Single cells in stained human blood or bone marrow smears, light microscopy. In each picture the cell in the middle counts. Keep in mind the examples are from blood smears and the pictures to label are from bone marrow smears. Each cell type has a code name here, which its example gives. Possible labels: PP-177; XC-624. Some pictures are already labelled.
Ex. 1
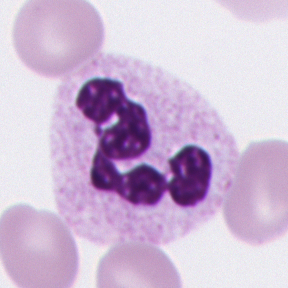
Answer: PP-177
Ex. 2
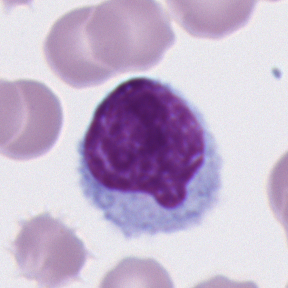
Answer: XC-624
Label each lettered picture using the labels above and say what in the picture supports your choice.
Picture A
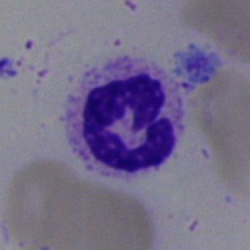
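PP-177. The nucleus is a thick curved band wrapped around a pale central space.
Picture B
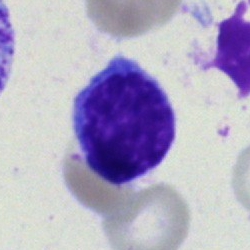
XC-624. The nucleus fills almost the whole cell, leaving very scant cytoplasm.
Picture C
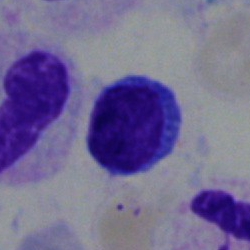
XC-624. The cytoplasm is a scanty rim stained deep blue.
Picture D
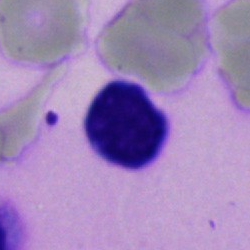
XC-624. Cytoplasm is scant, so the nucleus fills almost the whole cell.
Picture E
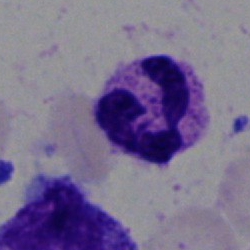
PP-177. Fine lilac granules are scattered throughout the cytoplasm.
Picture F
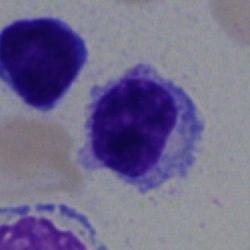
XC-624. The nucleus fills most of the cell and sits off-centre toward the upper left.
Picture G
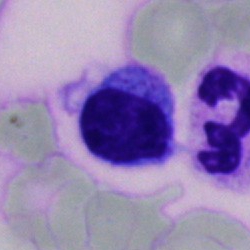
XC-624. The nucleus fills most of the cell.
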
